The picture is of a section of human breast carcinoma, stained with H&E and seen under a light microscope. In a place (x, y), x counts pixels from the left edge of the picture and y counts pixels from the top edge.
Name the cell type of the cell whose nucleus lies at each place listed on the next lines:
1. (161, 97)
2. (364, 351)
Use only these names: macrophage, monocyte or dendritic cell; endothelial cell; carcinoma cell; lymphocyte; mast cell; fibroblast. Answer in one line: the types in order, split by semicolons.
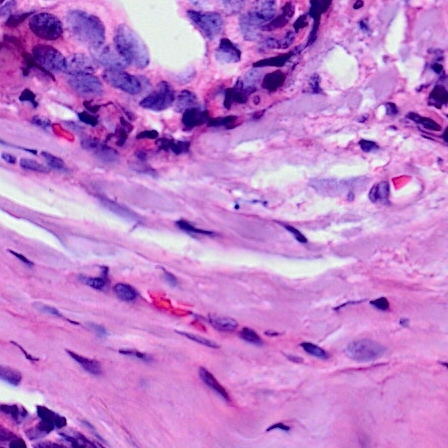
carcinoma cell; fibroblast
